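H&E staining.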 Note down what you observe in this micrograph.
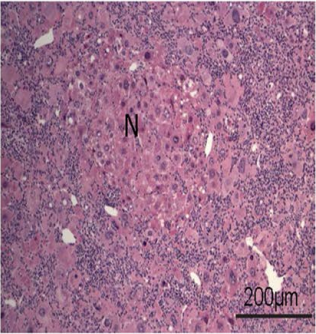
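Liver tissue in which large areas are taken up by dense infiltrates of small mononuclear cells with dark round nuclei and little cytoplasm. Between the infiltrates lie islands of enlarged pink hepatocytes, several with large nuclei, and scattered open vessel lumens; the regular plate arrangement is lost.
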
